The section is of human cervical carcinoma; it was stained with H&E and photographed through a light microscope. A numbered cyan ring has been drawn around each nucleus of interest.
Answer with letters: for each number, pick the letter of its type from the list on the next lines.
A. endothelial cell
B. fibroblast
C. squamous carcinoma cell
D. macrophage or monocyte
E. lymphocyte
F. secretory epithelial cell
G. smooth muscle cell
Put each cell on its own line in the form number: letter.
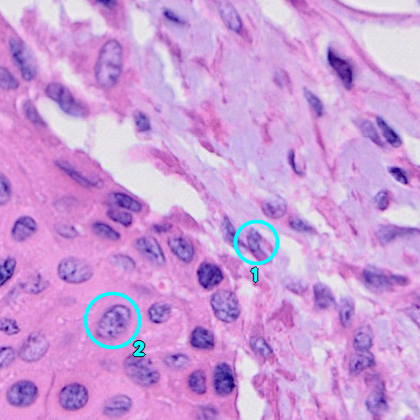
1: B
2: C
